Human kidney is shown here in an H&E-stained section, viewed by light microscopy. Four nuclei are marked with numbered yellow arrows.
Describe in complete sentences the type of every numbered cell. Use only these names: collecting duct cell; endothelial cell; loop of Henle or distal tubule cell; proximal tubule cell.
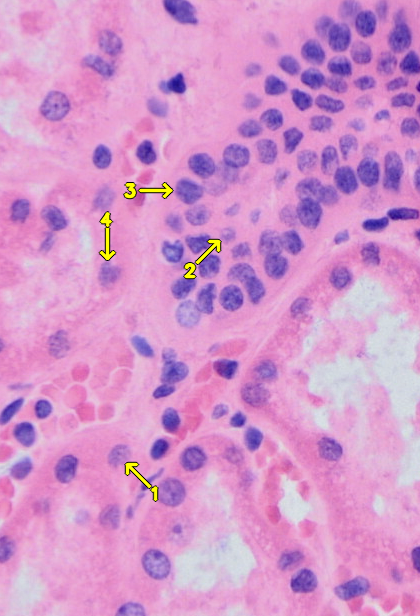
Cells 1 and 4 are proximal tubule cells. Cells 2 and 3 are collecting duct cells.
